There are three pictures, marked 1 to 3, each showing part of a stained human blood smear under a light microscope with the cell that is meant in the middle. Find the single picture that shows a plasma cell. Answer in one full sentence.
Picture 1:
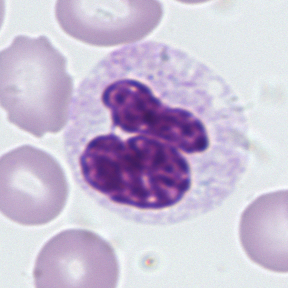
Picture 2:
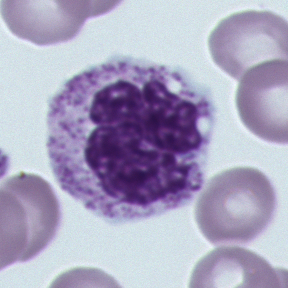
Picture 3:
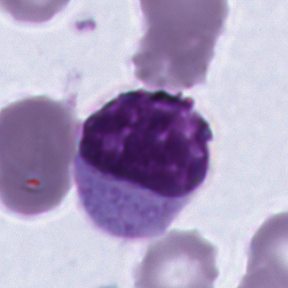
The cell in picture 3 is the plasma cell.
